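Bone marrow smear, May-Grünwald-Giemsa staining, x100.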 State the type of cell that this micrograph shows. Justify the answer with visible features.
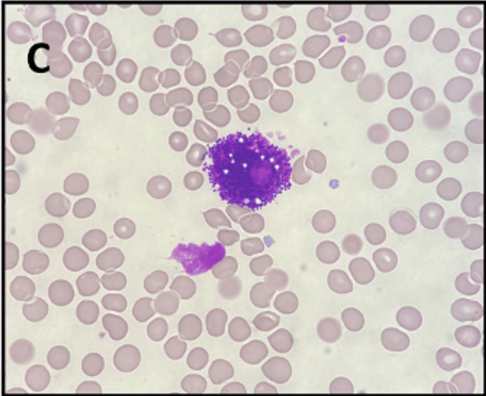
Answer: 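A large cell is packed with dark purple granules that hide most of its nucleus. Granules spill at the cell's edge. Small clear spots lie among the granules. So: mast cells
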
